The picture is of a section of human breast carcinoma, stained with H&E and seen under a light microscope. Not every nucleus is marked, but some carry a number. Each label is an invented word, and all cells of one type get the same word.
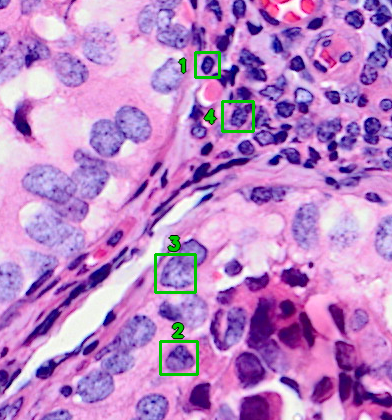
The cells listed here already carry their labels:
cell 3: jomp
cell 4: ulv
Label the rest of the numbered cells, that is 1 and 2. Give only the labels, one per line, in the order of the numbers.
ulv
jomp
